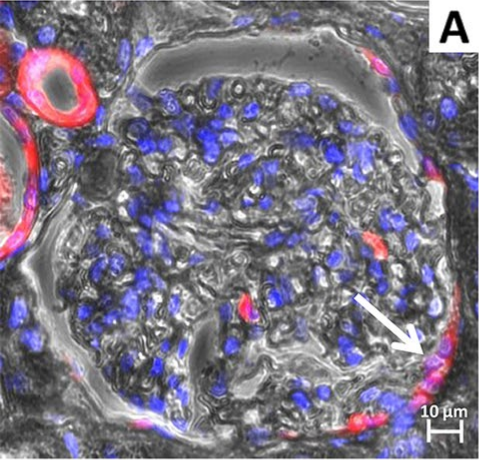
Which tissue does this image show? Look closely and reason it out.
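Glomerulus. A round lobulated tuft crowded with blue nuclei lies in the centre. A thin capsule with a clear space encloses the tuft.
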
